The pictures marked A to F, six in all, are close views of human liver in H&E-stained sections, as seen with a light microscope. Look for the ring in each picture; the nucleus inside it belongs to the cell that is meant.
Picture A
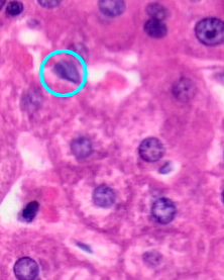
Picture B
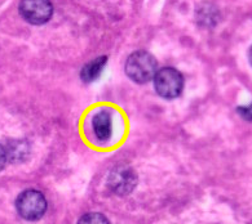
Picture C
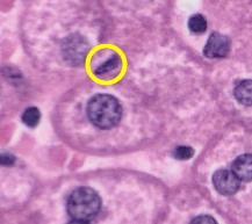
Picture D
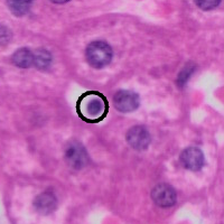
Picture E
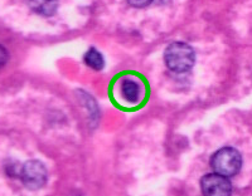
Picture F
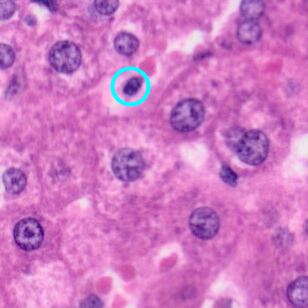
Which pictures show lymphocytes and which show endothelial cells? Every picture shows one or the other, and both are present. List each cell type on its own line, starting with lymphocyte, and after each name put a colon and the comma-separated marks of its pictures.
lymphocyte: B, D, E, F
endothelial cell: A, C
